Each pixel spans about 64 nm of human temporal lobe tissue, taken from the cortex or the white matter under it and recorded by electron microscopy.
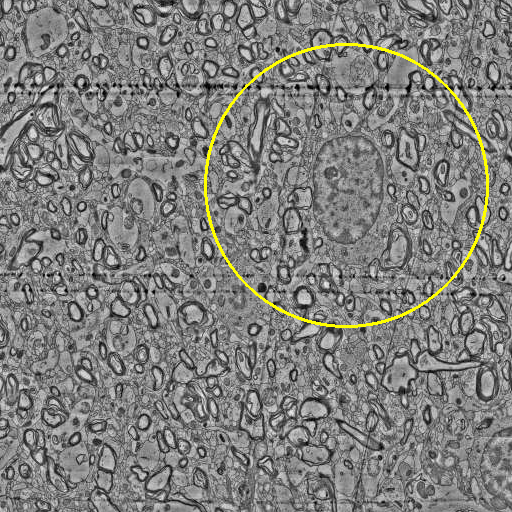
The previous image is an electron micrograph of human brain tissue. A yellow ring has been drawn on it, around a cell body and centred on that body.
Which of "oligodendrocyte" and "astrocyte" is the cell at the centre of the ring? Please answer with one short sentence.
The cell body at the centre of the ring belongs to an oligodendrocyte.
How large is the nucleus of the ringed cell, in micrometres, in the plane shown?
About 7 by 5 micrometres; in this plane the nucleus is clearly longer than it is wide.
